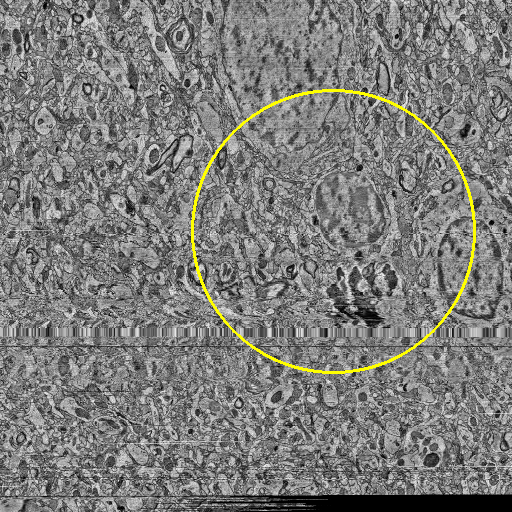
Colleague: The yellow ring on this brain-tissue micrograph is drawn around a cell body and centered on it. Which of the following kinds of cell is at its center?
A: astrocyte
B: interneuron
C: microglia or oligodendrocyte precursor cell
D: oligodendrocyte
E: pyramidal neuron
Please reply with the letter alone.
C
